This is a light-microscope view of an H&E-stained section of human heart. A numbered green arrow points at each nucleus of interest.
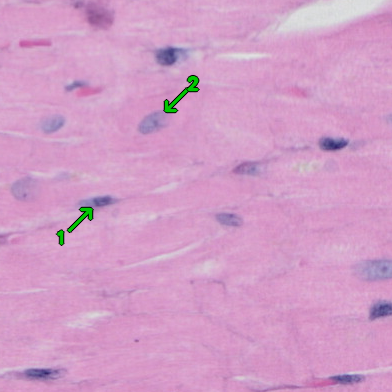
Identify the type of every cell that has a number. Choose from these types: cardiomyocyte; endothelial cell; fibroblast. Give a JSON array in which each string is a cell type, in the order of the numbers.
["endothelial cell", "cardiomyocyte"]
